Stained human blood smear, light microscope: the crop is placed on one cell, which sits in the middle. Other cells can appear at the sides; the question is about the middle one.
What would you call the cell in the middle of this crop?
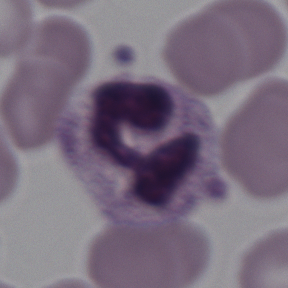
neutrophil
